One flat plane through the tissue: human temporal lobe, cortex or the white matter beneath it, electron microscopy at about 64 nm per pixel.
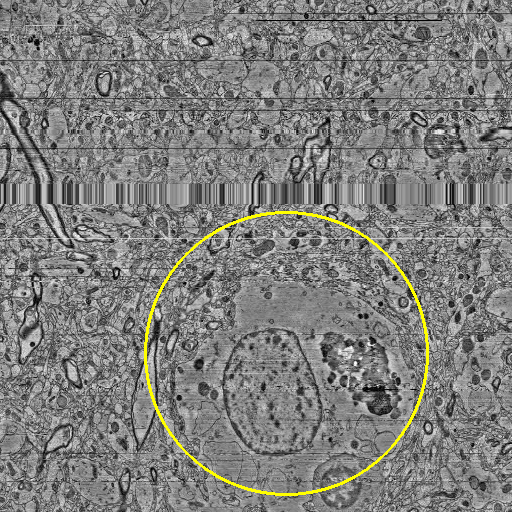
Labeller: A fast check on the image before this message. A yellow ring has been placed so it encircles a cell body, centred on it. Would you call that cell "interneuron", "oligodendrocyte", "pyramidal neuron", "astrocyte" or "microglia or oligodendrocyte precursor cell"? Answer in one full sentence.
In this image, an astrocyte is the cell on which the yellow ring is centred.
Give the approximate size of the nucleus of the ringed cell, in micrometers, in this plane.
The nucleus appears roughly 8 by 6 micrometres in this plane.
